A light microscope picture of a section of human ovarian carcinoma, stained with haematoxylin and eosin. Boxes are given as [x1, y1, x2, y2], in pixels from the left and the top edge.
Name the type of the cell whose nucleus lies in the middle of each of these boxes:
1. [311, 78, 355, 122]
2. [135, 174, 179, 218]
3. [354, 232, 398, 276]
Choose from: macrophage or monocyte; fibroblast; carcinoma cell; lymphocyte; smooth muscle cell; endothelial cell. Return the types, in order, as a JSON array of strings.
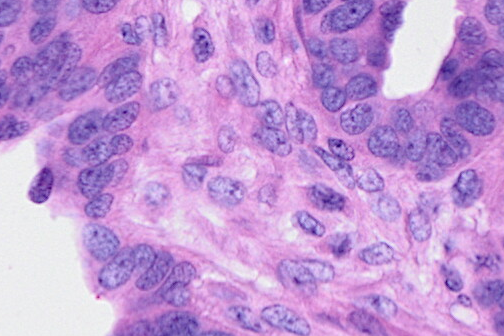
["carcinoma cell", "fibroblast", "fibroblast"]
